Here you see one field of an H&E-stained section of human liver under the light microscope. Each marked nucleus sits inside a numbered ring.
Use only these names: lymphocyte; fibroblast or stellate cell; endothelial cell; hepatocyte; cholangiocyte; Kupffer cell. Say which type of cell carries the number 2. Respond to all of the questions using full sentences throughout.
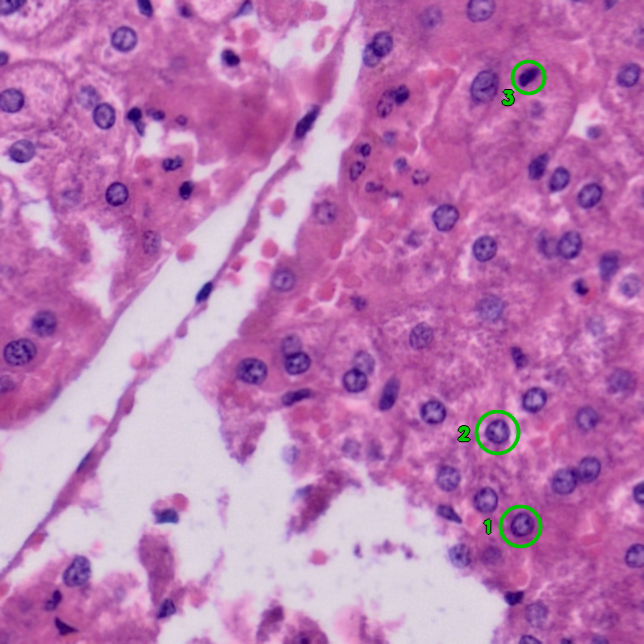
The cell pointed out as number 2 is a hepatocyte.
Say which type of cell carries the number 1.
Cell 1 in the field of view is a hepatocyte.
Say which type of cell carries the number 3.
Recognised here as a fibroblast or stellate cell is the cell numbered 3.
